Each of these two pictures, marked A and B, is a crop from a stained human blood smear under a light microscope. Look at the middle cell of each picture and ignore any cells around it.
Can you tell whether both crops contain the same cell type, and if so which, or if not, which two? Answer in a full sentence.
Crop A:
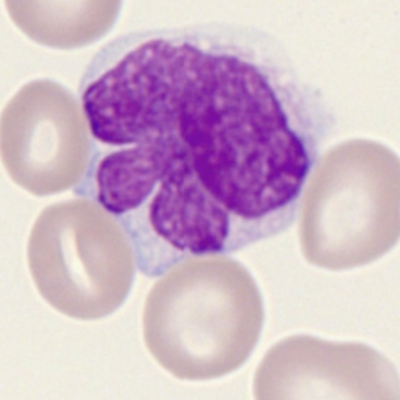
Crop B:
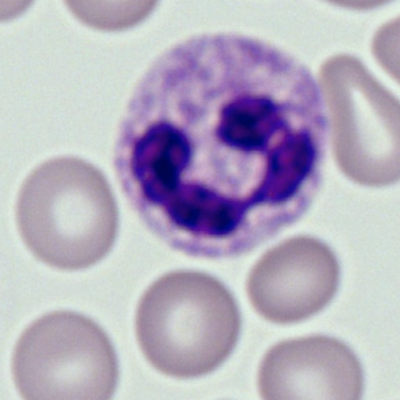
No, crop A is where a monocyte is, and crop B is where a segmented neutrophil is.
